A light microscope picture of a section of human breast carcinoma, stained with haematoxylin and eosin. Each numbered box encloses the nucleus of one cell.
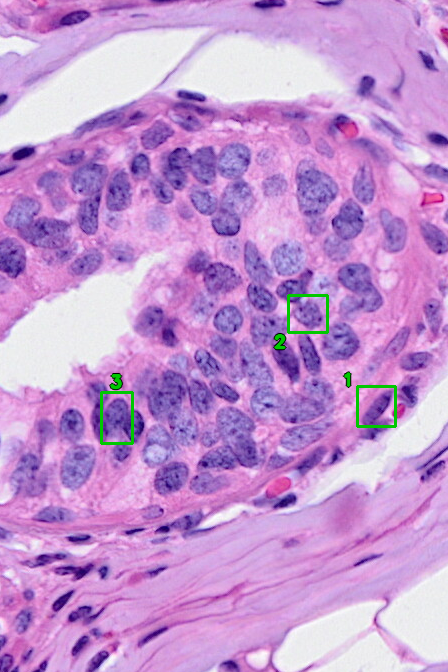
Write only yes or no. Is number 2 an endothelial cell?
no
